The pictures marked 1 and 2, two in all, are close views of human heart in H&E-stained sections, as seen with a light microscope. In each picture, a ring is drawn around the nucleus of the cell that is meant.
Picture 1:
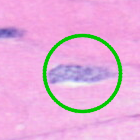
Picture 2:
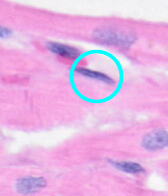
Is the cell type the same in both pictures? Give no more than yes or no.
no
